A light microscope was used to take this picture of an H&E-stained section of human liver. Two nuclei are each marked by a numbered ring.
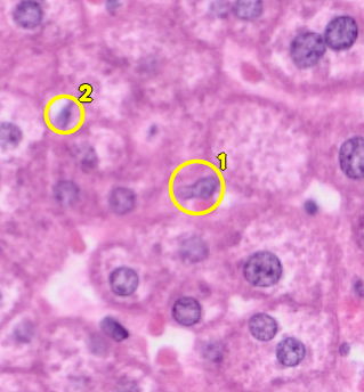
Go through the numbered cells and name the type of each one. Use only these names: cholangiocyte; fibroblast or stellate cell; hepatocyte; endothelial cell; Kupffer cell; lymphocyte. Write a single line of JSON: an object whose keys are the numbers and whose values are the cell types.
{"1": "Kupffer cell", "2": "endothelial cell"}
